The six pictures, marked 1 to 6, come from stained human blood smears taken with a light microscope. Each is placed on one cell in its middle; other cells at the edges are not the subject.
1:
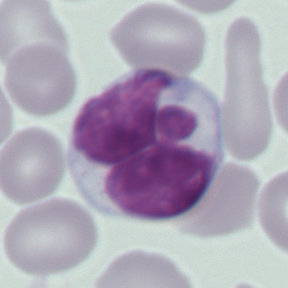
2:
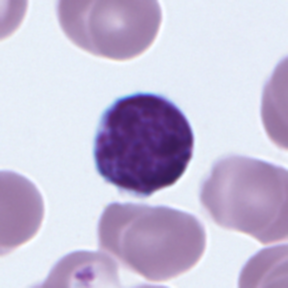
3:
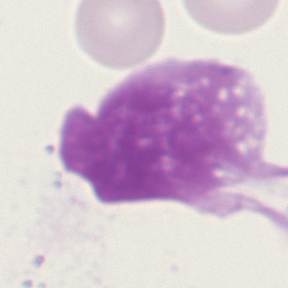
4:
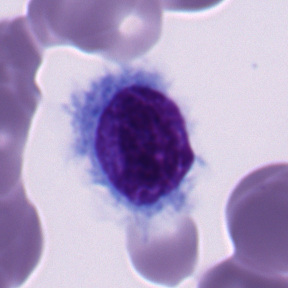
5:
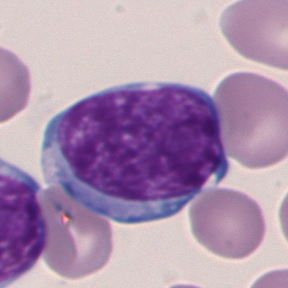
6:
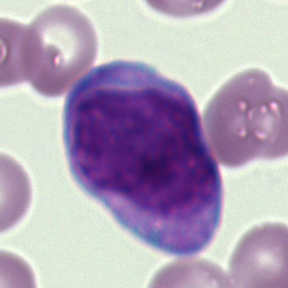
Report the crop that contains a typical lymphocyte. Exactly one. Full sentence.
On review of the set, crop 2 is the one showing a typical lymphocyte.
